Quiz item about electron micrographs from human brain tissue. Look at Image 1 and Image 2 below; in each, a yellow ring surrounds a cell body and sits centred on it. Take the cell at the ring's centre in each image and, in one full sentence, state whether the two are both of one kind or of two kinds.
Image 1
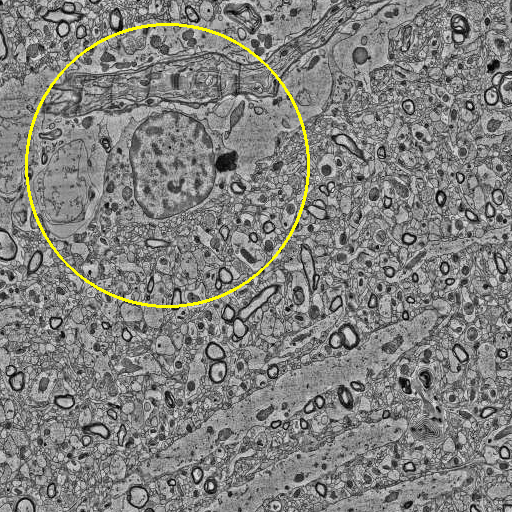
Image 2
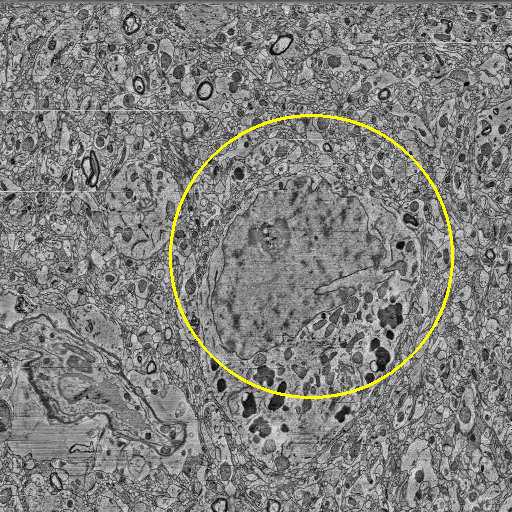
In Image 1 and Image 2, the cells at the ring centres are of two kinds.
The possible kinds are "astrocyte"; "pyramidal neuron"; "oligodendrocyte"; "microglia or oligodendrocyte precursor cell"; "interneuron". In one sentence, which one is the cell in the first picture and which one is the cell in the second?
The cell ringed in the second picture is an interneuron, whereas the one ringed in the first is an oligodendrocyte.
